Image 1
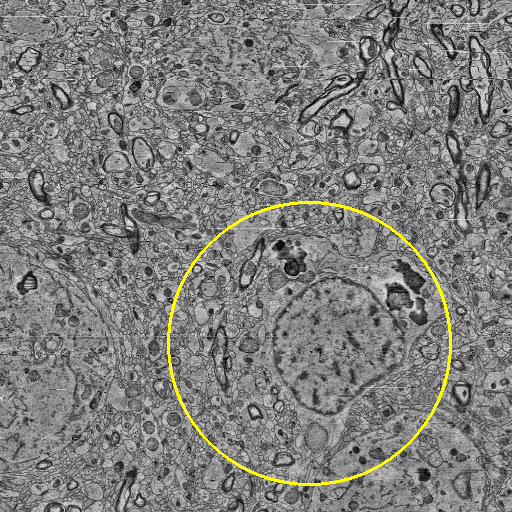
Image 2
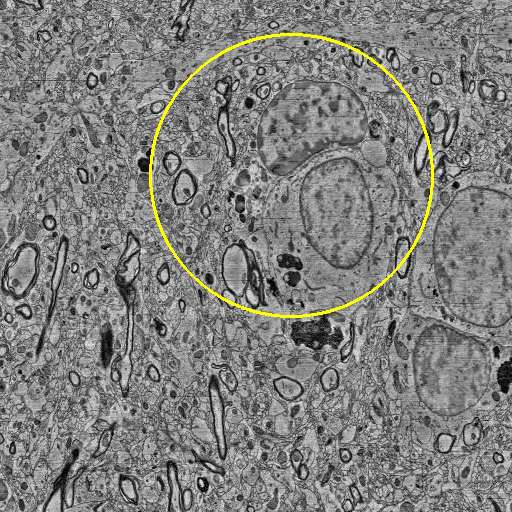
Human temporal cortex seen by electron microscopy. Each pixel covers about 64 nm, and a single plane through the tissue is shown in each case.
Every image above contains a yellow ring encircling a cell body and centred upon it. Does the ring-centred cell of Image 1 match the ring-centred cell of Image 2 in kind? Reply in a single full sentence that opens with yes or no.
No, the cell at the ring's centre in Image 1 is a separate kind from that in Image 2.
